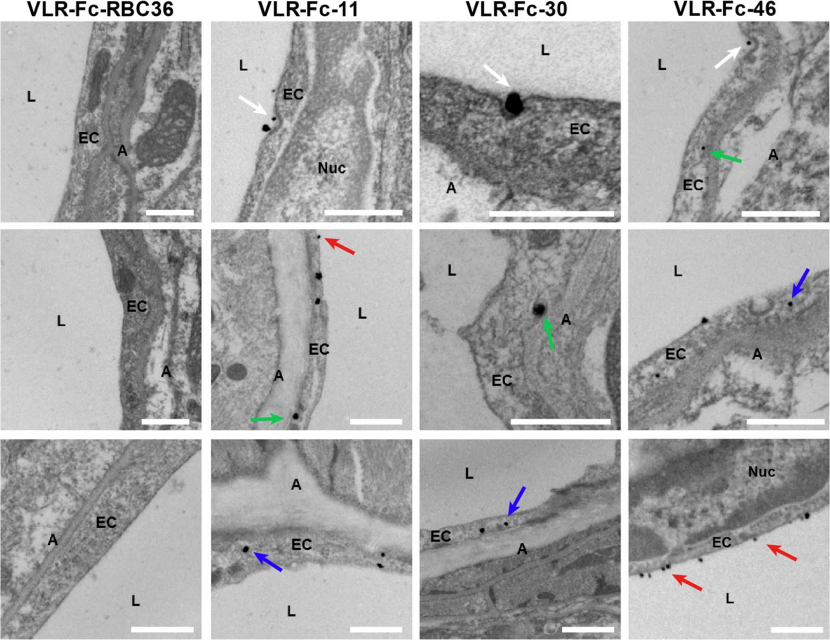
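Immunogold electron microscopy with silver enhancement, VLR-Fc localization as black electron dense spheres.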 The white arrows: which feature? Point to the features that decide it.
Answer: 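Black particles lie in small inward pockets of the lumen-facing membrane. So: invaginating endocytic pits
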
